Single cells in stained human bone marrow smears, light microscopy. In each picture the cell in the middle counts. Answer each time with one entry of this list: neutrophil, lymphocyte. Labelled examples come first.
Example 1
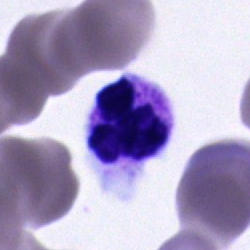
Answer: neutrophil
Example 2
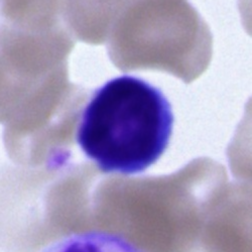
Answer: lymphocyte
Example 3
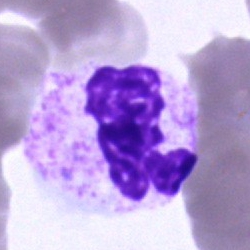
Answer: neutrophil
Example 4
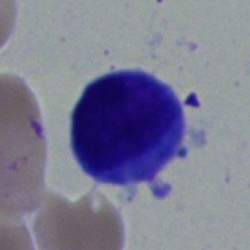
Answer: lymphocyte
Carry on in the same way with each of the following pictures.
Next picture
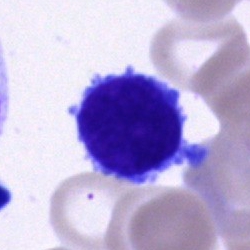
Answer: lymphocyte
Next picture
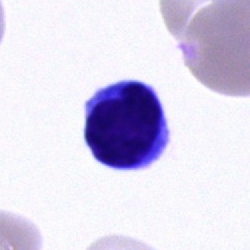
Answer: lymphocyte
